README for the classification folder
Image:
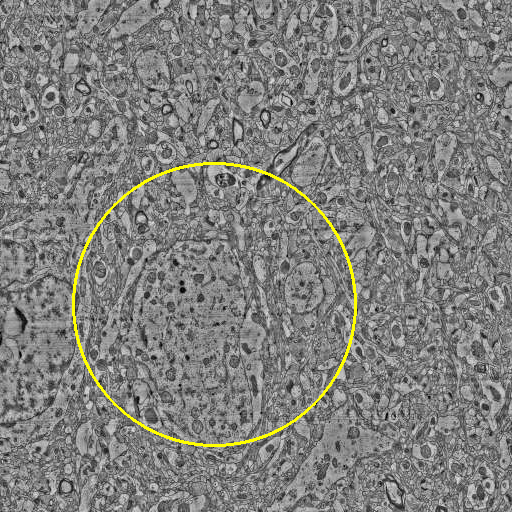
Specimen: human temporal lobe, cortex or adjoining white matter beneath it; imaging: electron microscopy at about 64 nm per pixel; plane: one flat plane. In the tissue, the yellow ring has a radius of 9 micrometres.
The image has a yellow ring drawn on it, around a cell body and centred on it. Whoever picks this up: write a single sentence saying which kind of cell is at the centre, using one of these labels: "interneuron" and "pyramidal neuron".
This cell body is that of a pyramidal neuron.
